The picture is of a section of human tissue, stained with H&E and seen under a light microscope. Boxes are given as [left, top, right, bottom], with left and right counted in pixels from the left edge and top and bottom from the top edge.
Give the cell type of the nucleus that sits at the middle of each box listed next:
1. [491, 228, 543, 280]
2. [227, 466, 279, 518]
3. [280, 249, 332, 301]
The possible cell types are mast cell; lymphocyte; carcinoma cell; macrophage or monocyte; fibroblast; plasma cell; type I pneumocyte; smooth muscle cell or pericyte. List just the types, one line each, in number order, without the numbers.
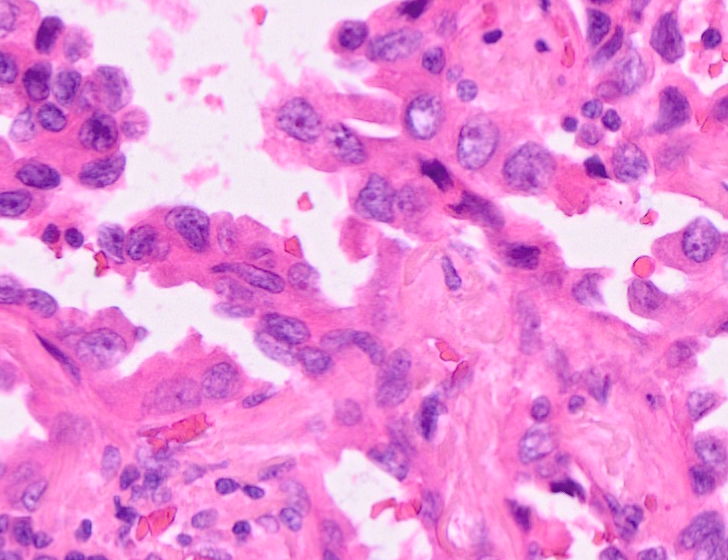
carcinoma cell
lymphocyte
carcinoma cell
